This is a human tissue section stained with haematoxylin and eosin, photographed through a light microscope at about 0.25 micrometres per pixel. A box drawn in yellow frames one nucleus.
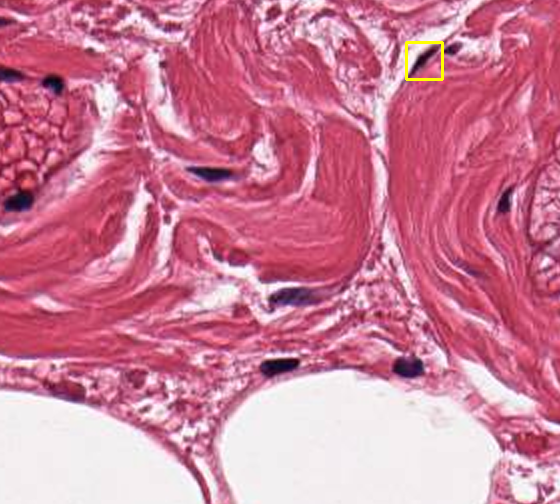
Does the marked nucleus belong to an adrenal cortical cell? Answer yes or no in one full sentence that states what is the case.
No, the marked nucleus is not that of an adrenal cortical cell but that of a supporting cell.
